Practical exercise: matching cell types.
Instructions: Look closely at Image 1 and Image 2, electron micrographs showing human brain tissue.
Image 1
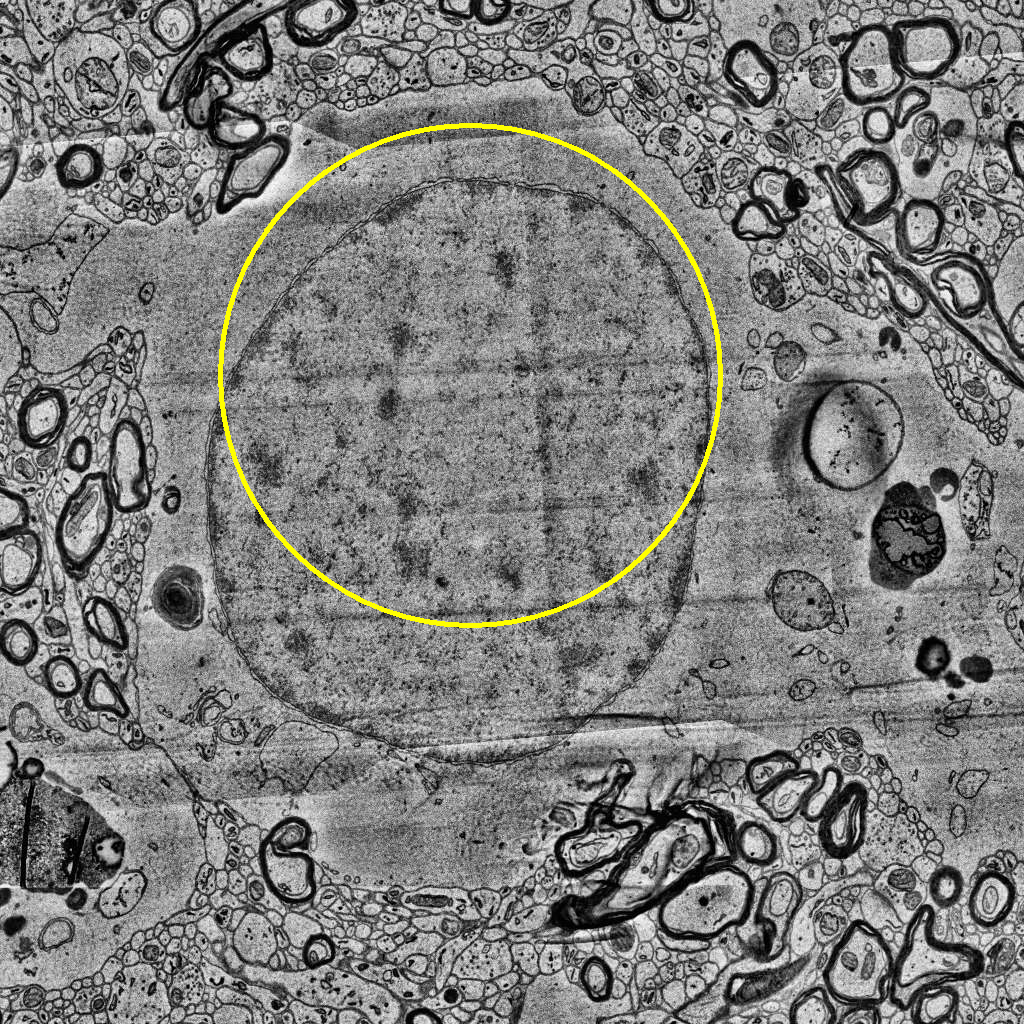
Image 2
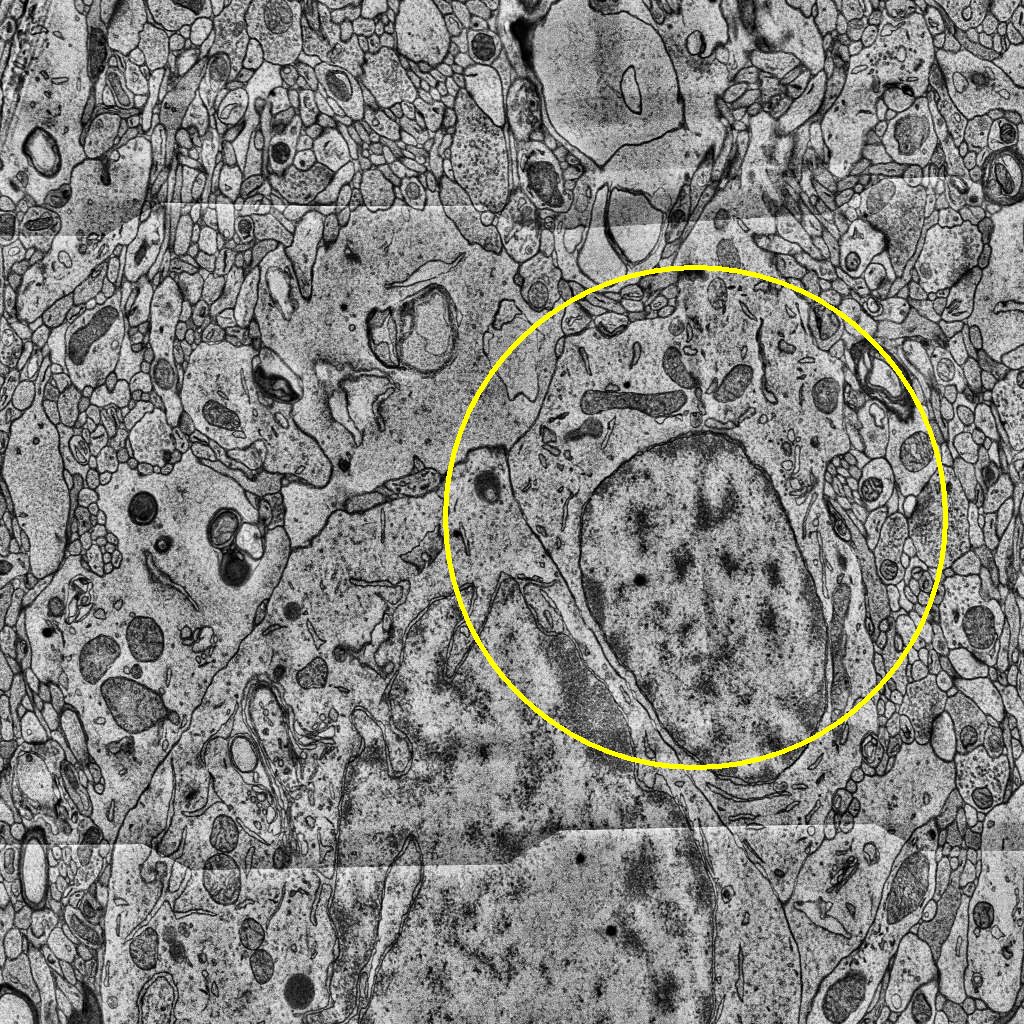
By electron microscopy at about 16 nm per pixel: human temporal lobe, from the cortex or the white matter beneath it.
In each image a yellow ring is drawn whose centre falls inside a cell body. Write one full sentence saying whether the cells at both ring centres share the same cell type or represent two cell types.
Across Image 1 and Image 2, the cells at the ring centres represent two cell types.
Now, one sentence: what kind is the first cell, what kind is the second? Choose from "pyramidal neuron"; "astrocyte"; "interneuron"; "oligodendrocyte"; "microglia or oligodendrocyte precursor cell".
The second cell is a microglial cell or oligodendrocyte precursor cell, while the first is an astrocyte.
